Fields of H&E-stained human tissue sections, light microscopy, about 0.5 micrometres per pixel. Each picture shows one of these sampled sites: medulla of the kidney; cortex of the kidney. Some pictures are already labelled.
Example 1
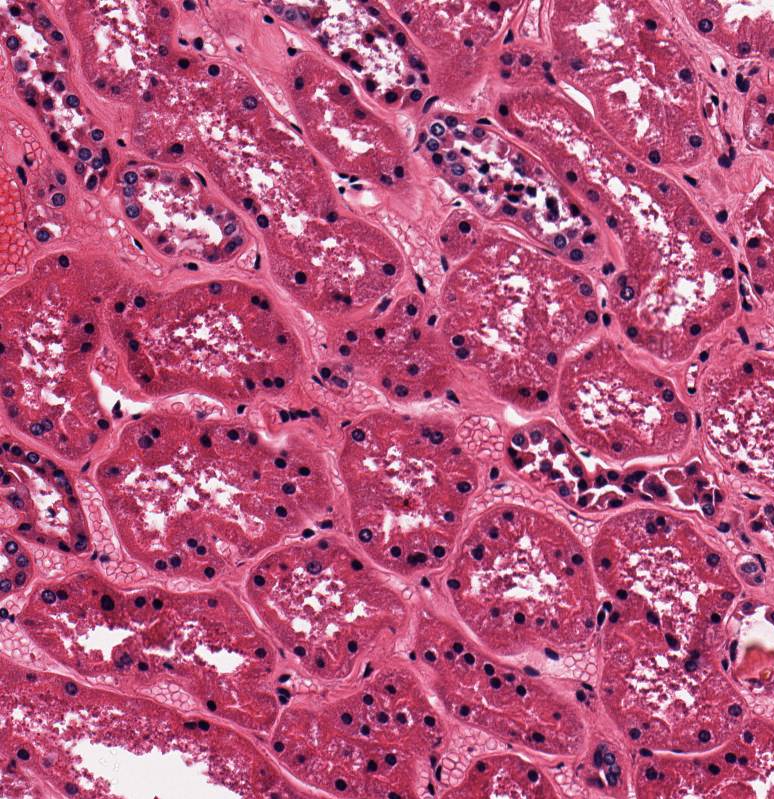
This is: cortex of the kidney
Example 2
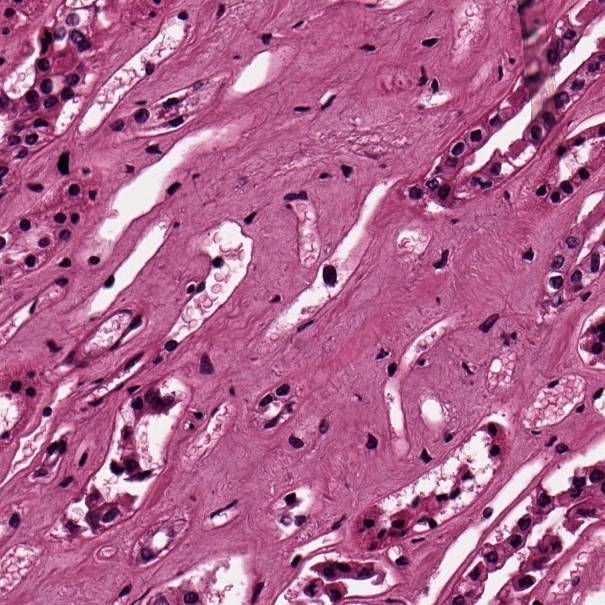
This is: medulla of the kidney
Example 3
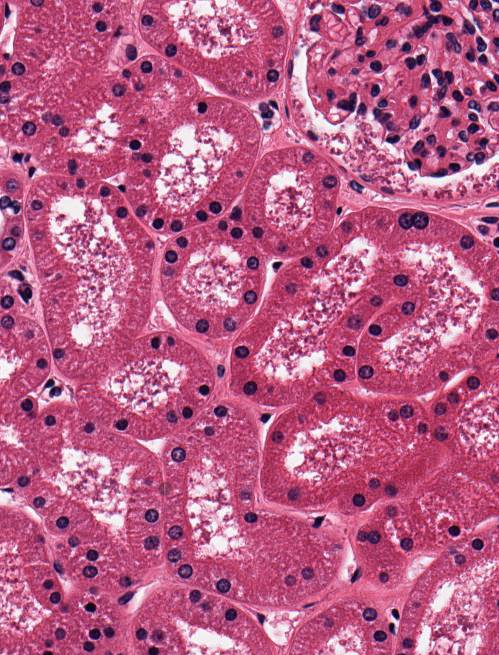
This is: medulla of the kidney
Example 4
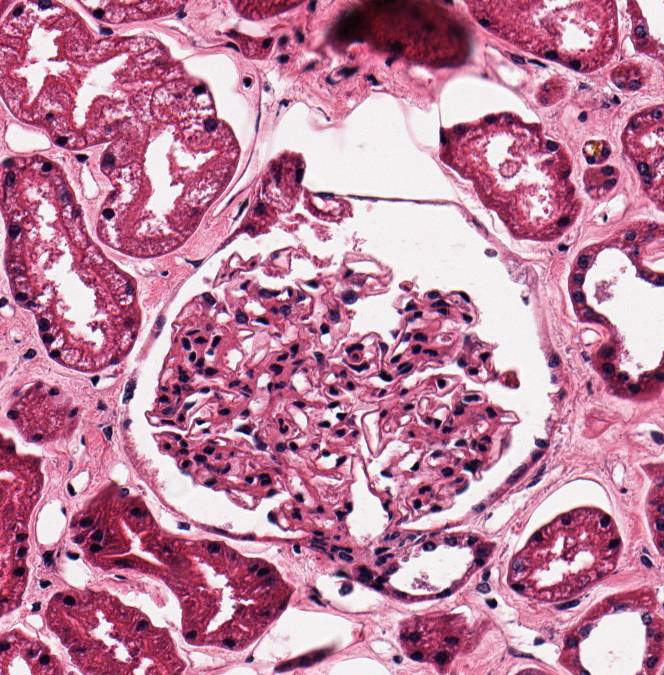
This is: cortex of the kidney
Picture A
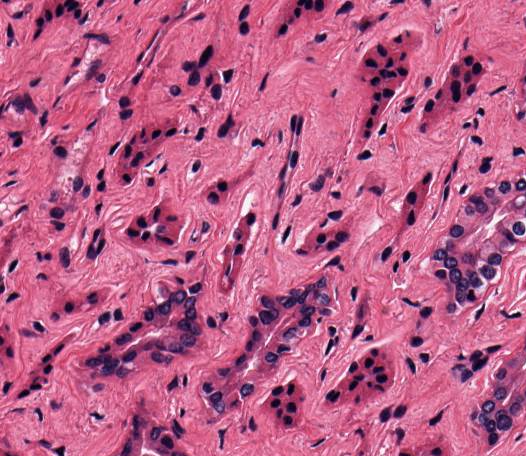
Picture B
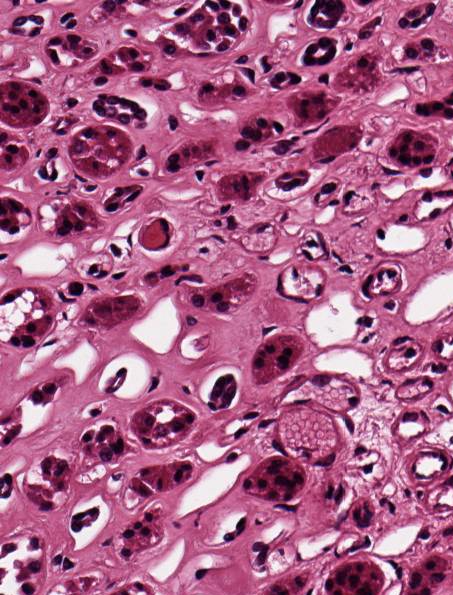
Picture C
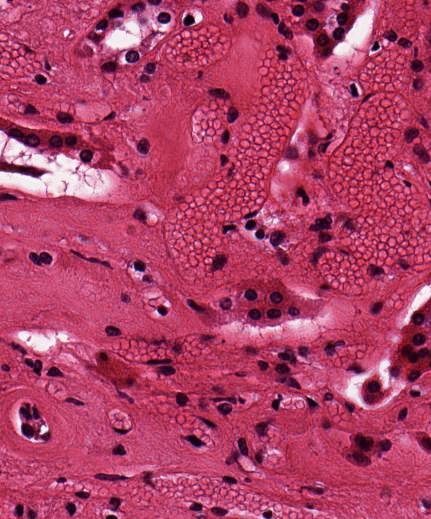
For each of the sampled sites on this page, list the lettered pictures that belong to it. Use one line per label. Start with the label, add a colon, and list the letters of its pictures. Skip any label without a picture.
medulla of the kidney: A, B, C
